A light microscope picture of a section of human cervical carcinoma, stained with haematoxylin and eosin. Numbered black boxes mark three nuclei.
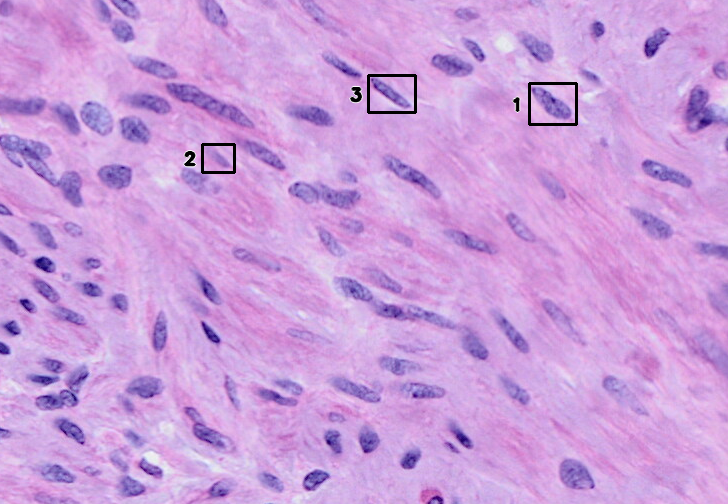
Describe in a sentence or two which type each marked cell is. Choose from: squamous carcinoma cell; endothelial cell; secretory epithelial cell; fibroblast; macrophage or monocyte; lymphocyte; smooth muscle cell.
Cells 1 and 3 are fibroblasts. Cell 2 is a smooth muscle cell.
